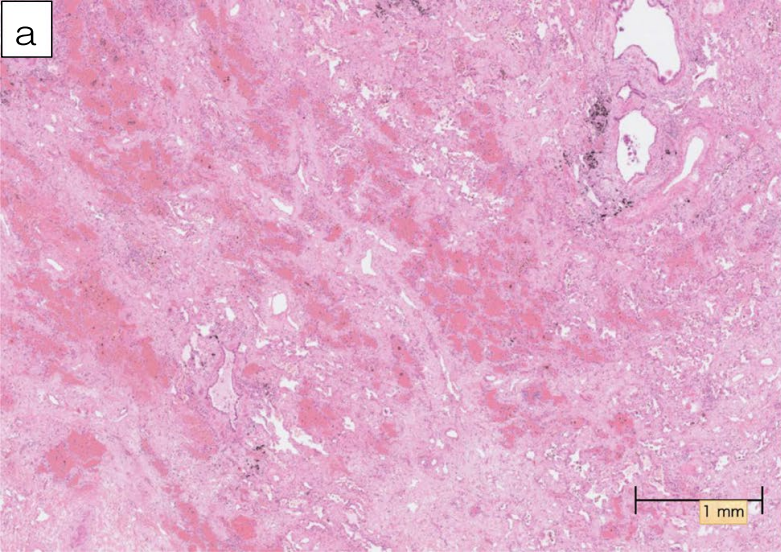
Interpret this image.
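At low power the tissue is largely replaced by pale pink fibrous tissue with extensive fibrosis, interrupted by irregular bright red patches of bleeding. Scattered dark pigment deposits and a few vessels with thickened walls are seen, and only small open spaces remain.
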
